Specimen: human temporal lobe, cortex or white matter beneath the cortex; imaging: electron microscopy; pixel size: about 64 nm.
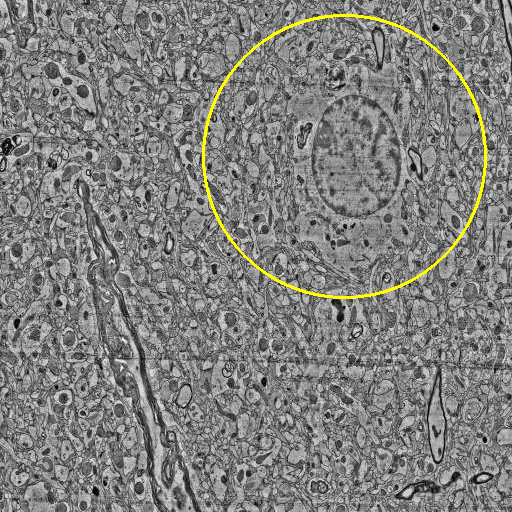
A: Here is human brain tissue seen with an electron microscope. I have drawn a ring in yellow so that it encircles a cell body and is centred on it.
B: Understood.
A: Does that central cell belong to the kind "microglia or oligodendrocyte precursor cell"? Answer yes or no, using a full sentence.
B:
No, the central cell inside your yellow ring belongs to another kind.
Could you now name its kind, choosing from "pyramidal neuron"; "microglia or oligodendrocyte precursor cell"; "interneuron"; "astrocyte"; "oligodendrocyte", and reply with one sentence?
The cell in question here is an astrocyte.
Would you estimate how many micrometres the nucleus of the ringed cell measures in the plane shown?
The nucleus has a long axis of about 8 micrometres and a short axis of about 6 micrometres in this plane.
